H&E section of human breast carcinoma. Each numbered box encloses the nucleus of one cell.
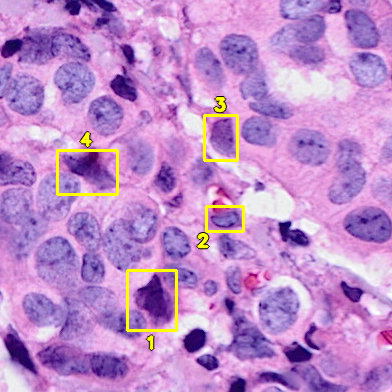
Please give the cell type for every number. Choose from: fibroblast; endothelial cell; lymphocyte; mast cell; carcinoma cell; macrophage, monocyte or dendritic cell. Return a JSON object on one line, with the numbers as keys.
{"1": "carcinoma cell", "2": "endothelial cell", "3": "carcinoma cell", "4": "carcinoma cell"}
